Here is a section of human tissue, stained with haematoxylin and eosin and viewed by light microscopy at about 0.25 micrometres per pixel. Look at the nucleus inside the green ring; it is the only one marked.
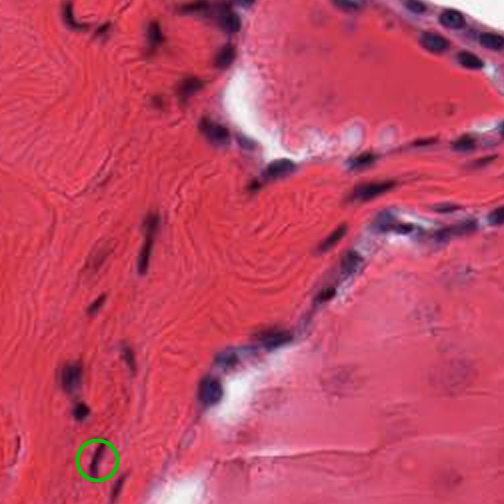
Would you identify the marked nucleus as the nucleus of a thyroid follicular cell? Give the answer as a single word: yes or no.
no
